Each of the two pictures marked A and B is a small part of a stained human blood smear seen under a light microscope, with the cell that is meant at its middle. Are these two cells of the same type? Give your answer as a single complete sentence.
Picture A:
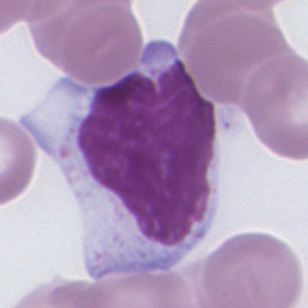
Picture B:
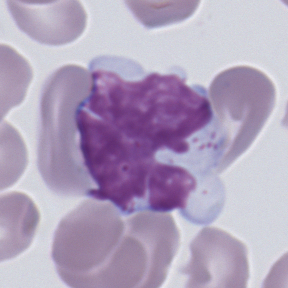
Yes; the cells in both pictures are large granular lymphocytes.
